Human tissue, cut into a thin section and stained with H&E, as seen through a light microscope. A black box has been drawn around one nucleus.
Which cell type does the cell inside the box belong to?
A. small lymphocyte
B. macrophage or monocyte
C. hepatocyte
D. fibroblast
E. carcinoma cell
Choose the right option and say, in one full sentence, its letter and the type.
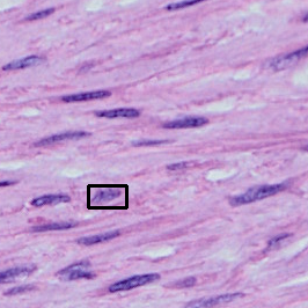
The proper choice here is D: the cell inside the box is a fibroblast.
